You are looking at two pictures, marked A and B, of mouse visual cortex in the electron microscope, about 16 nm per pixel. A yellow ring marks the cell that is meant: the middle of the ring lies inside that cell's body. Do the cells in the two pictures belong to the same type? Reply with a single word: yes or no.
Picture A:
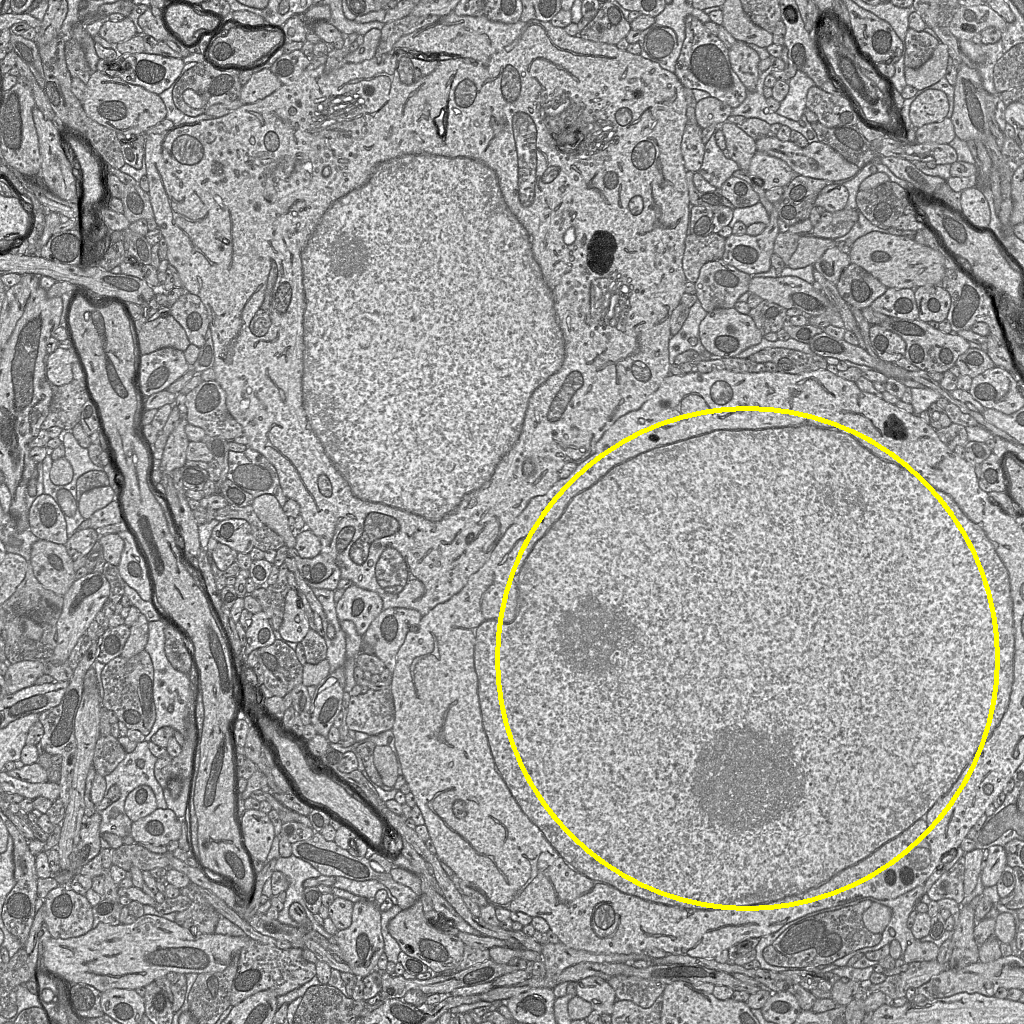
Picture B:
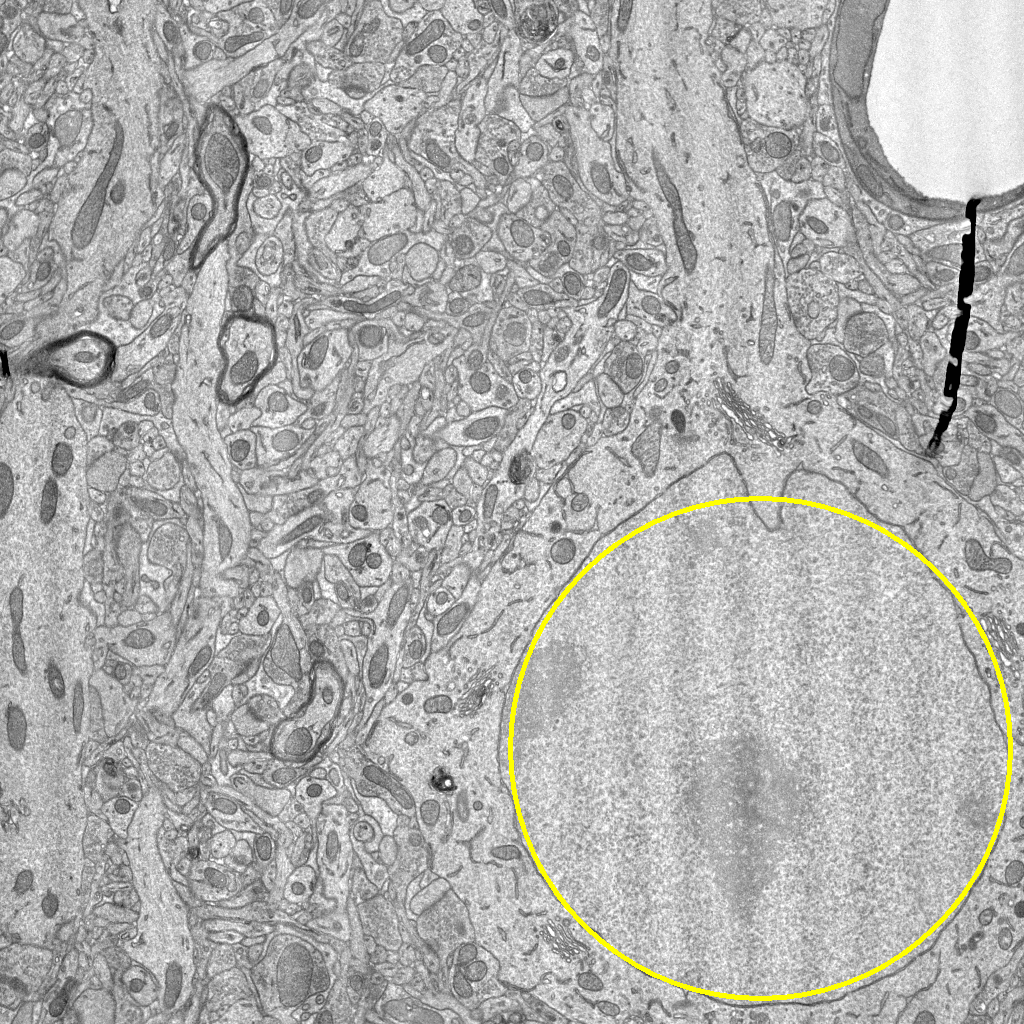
yes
